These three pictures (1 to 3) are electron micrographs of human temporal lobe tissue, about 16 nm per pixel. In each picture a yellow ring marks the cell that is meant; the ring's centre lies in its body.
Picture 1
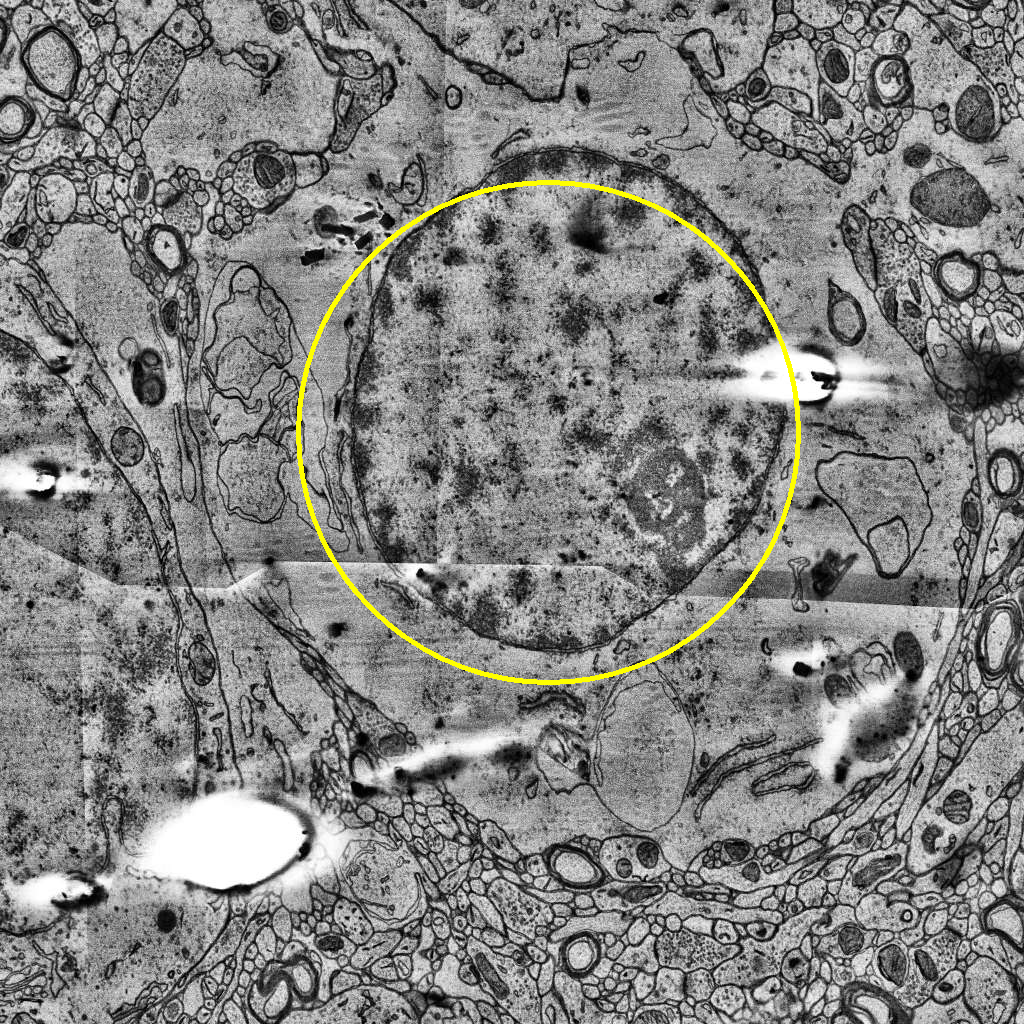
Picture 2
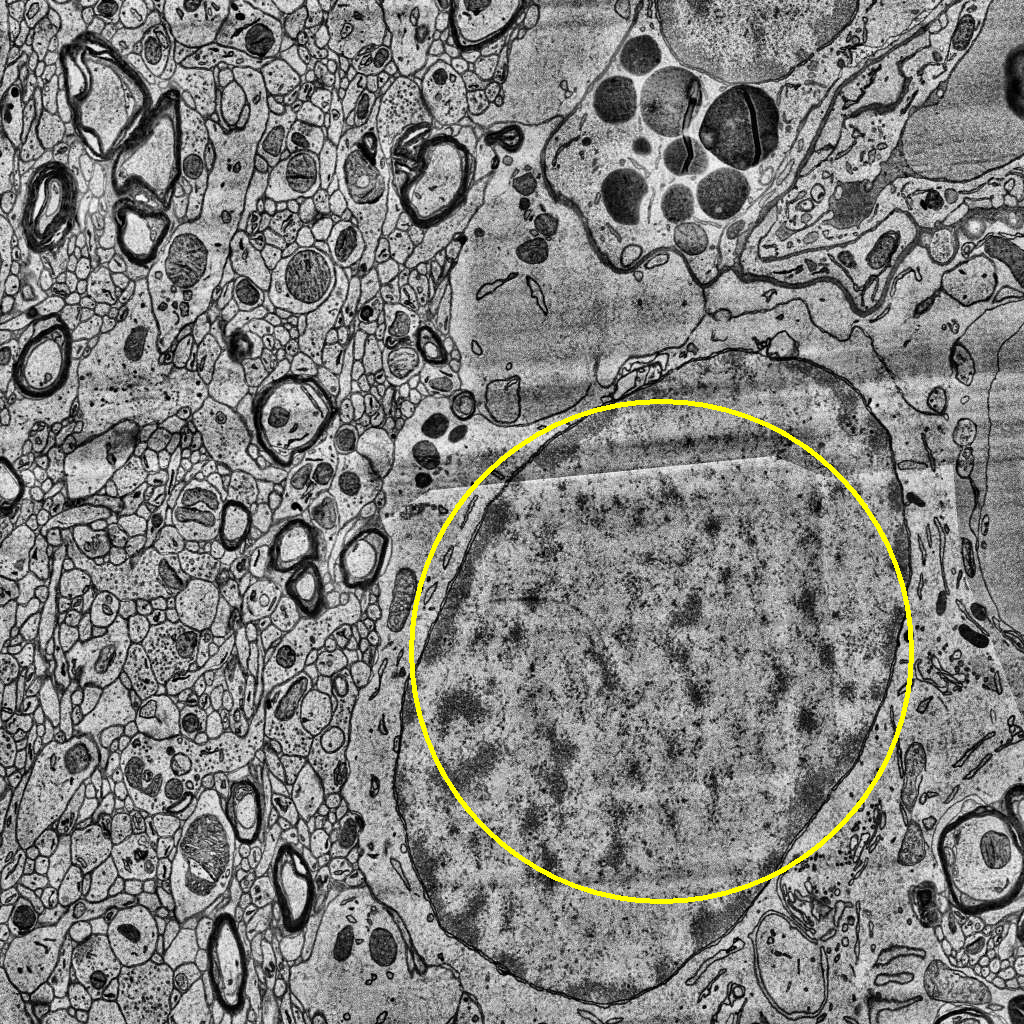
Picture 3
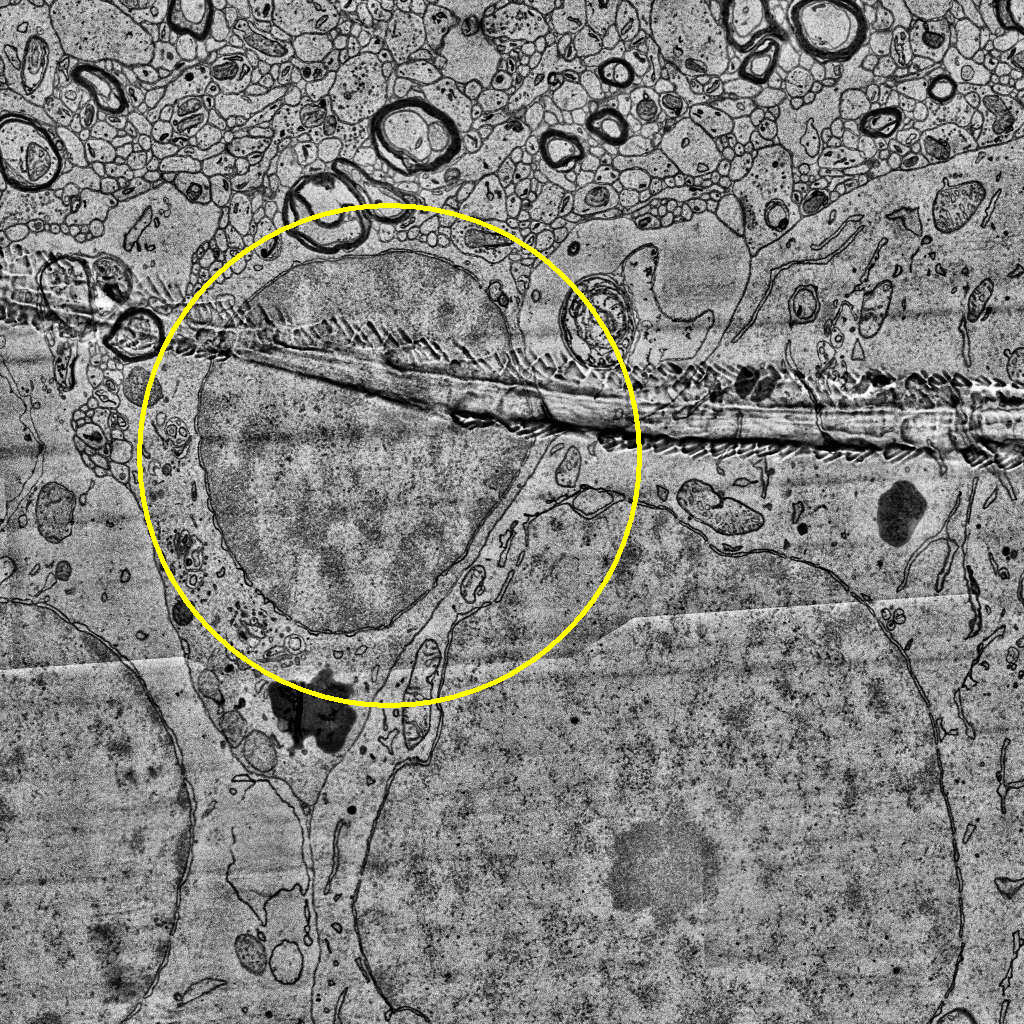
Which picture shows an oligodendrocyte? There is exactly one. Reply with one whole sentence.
Picture 3 is the one that shows the oligodendrocyte.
